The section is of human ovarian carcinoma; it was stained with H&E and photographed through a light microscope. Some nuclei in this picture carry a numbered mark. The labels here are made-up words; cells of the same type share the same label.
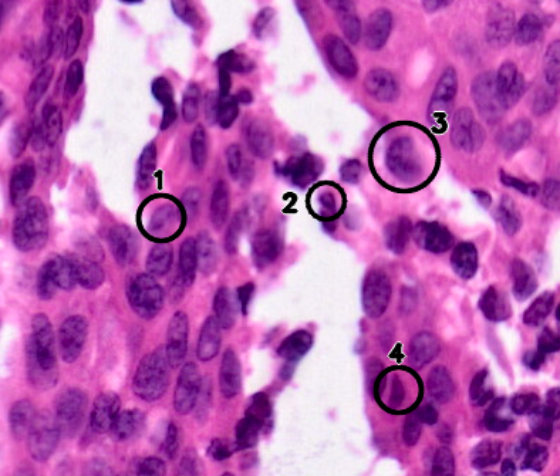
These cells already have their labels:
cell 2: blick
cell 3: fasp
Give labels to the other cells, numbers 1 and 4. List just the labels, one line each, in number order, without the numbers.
fasp
fasp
